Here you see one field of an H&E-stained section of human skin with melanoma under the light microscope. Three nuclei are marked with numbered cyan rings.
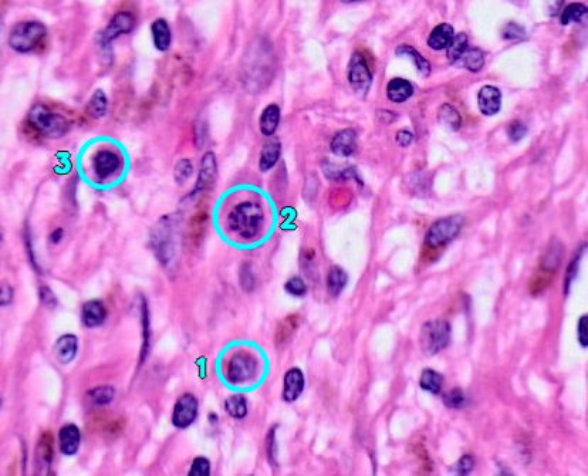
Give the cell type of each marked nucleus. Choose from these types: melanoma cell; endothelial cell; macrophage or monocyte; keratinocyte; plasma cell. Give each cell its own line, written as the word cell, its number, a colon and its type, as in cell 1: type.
cell 1: macrophage or monocyte
cell 2: plasma cell
cell 3: plasma cell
